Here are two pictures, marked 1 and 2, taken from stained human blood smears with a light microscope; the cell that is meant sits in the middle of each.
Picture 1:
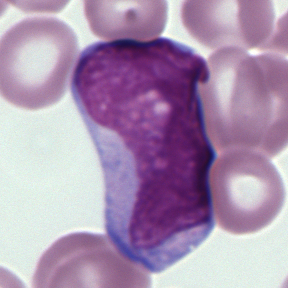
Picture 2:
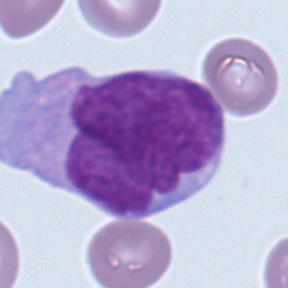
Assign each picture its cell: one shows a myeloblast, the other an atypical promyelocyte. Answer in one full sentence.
Picture 1 is of a myeloblast, and picture 2 is of an atypical promyelocyte.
